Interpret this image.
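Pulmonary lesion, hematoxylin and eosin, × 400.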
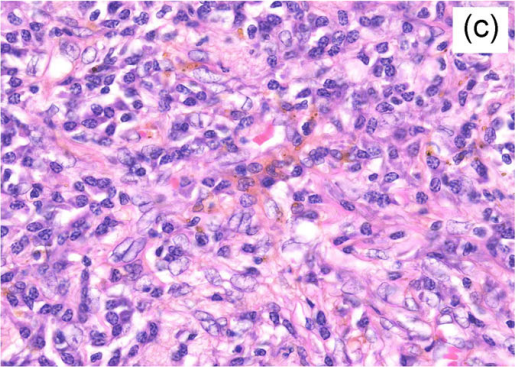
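Many cells have oval to elongated, vesicular nuclei with fine chromatin and small nucleoli, mixed with smaller cells bearing dark round nuclei. Coarse golden-brown pigment granules lie scattered between the cells, with a few red blood cells nearby.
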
